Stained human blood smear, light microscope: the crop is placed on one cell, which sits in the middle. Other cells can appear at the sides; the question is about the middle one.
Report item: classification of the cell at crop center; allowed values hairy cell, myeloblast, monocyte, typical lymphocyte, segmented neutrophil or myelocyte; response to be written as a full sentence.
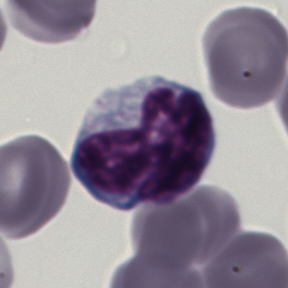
For this crop, the cell in the middle is a typical lymphocyte.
